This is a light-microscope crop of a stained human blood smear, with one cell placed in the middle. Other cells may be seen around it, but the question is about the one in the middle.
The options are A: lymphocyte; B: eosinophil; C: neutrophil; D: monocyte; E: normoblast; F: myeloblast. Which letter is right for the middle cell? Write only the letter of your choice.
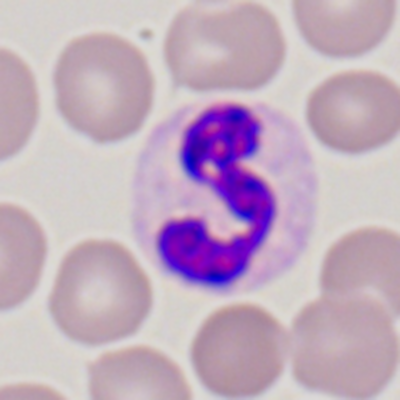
C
